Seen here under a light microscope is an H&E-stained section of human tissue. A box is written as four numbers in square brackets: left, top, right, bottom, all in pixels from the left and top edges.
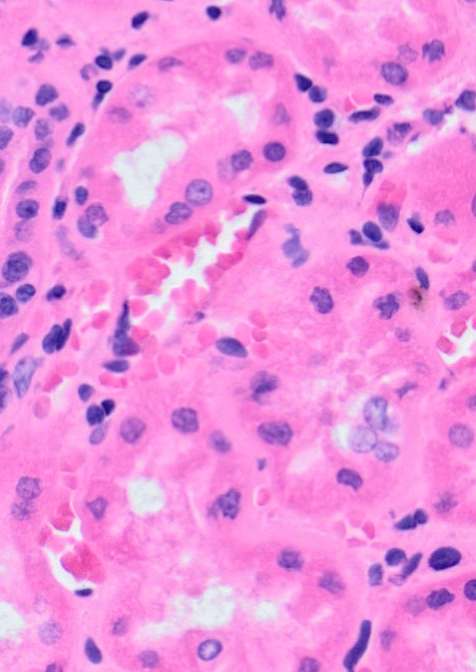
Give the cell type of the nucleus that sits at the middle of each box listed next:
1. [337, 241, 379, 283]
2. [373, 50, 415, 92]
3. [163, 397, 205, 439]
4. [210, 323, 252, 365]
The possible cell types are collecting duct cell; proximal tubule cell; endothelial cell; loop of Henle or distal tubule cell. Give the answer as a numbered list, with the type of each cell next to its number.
1. proximal tubule cell
2. proximal tubule cell
3. proximal tubule cell
4. endothelial cell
